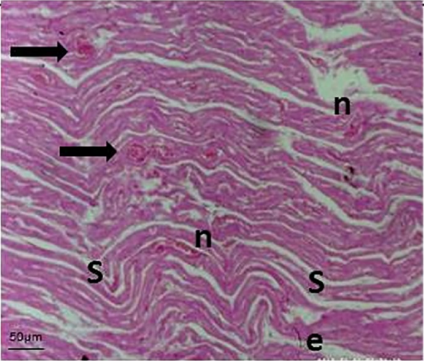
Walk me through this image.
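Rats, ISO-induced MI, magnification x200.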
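Cardiac muscle with disordered fibers. The pink-stained fibers run in wavy, kinked bundles instead of straight parallel lines. Irregular clear spaces of varying width lie between the fibers, and larger clear spaces open near the upper right. Small rounded pink structures are scattered among the fibers. Overall the regular parallel architecture of the muscle is lost.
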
